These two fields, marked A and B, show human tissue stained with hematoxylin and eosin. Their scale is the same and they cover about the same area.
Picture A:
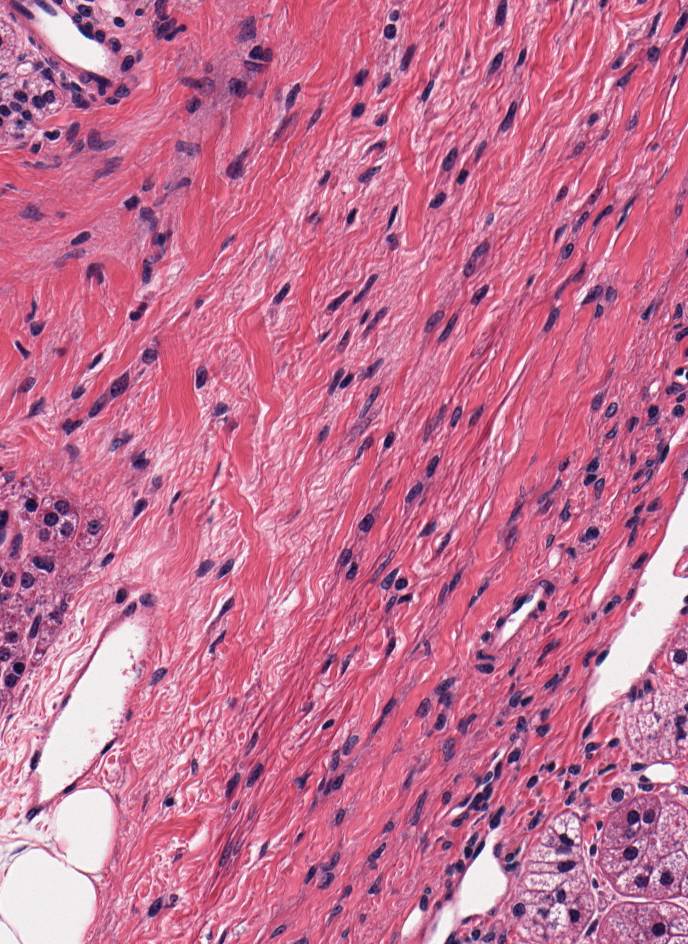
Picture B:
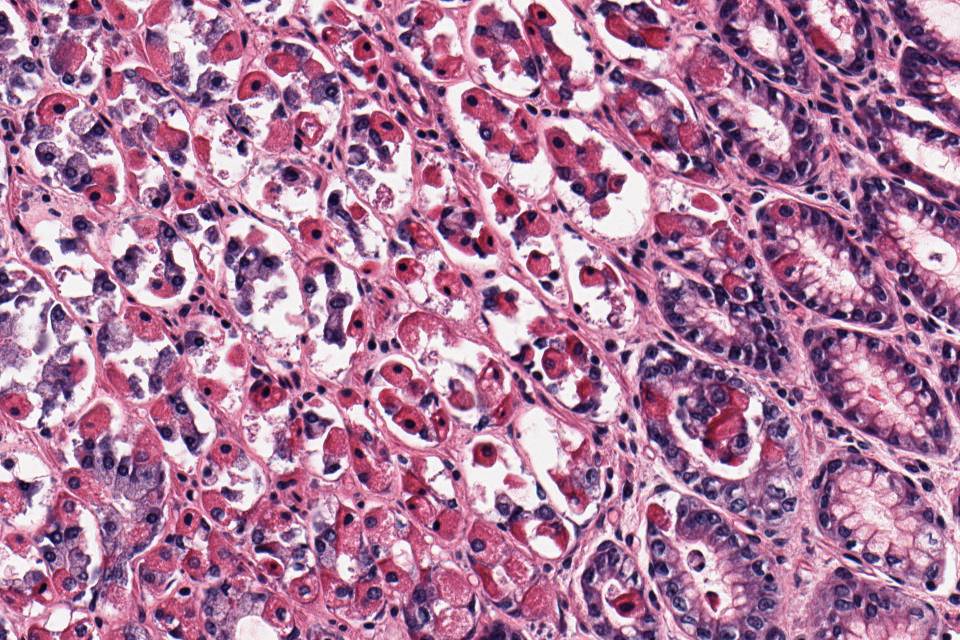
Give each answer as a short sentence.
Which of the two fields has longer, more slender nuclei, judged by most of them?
The nuclei are more elongated in picture A.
